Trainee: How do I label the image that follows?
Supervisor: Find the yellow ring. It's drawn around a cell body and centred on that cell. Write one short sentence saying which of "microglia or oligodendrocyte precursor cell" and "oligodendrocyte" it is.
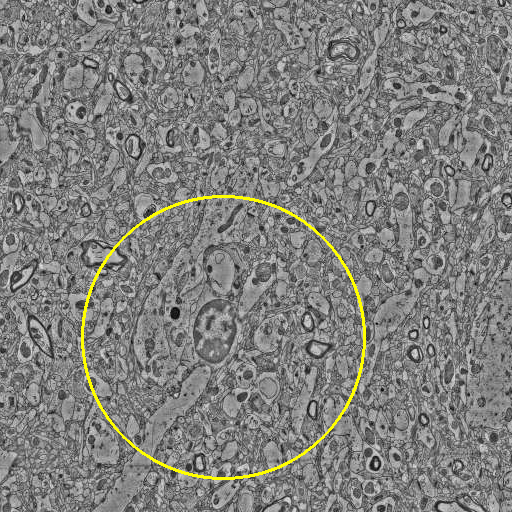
This is the cell body of a microglial cell or oligodendrocyte precursor cell.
